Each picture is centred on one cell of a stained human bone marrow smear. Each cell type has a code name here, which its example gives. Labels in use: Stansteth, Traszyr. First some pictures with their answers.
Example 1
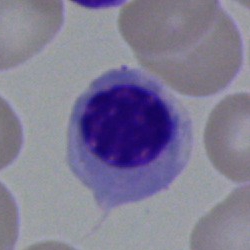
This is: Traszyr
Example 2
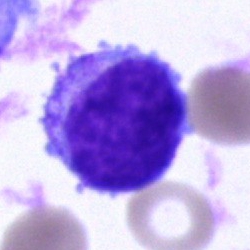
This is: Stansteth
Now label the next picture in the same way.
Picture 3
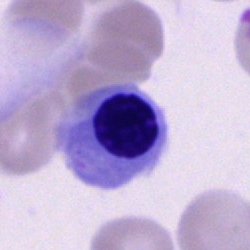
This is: Traszyr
